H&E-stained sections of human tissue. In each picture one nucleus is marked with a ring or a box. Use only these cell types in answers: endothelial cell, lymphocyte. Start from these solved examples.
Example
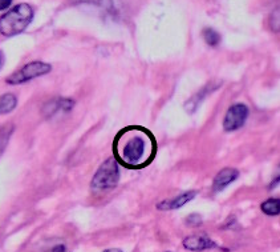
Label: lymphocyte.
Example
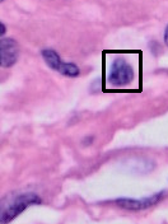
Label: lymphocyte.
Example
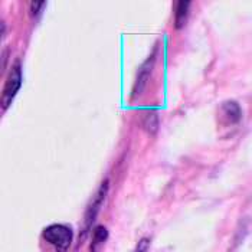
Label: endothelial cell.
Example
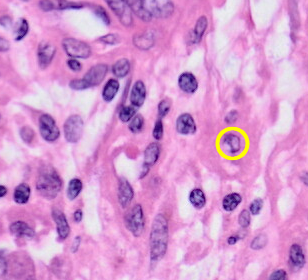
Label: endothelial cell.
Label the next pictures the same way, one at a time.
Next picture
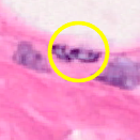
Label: endothelial cell.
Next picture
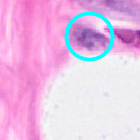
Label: endothelial cell.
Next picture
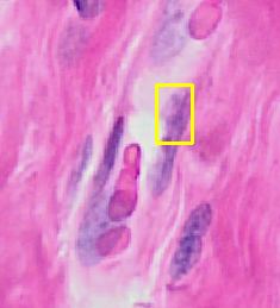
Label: endothelial cell.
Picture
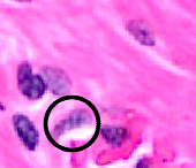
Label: endothelial cell.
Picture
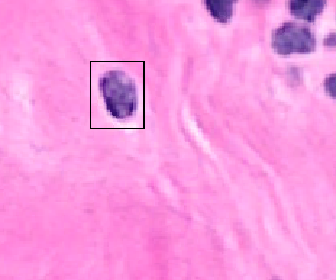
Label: lymphocyte.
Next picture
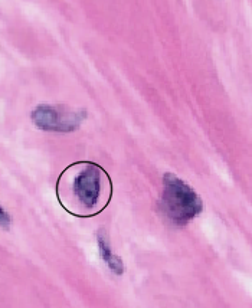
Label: lymphocyte.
